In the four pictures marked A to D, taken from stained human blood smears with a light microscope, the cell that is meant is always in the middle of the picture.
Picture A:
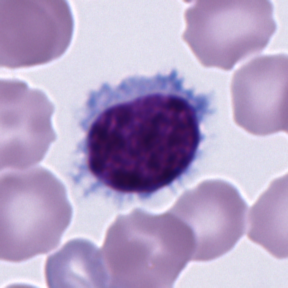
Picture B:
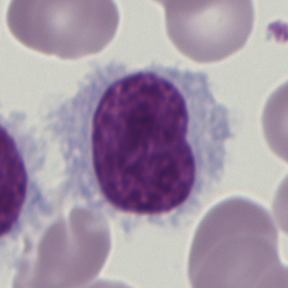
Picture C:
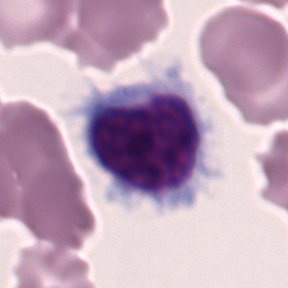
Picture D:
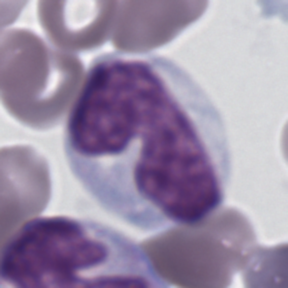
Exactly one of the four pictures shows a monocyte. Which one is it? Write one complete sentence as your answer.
Picture D shows the monocyte.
